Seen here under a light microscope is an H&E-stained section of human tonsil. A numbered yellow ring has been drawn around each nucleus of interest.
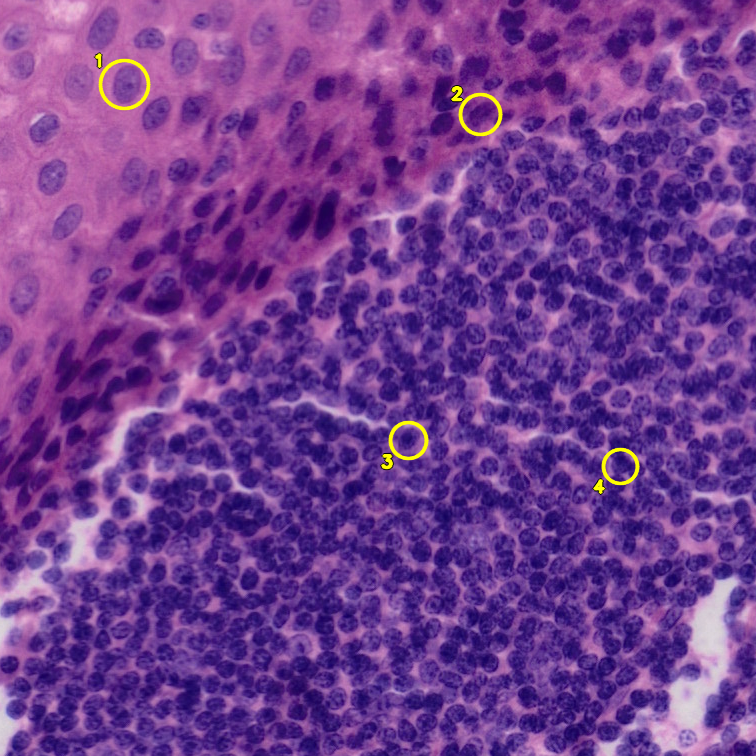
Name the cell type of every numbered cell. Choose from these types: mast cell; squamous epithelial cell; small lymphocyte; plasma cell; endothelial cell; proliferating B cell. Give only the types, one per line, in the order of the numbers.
squamous epithelial cell
squamous epithelial cell
small lymphocyte
small lymphocyte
